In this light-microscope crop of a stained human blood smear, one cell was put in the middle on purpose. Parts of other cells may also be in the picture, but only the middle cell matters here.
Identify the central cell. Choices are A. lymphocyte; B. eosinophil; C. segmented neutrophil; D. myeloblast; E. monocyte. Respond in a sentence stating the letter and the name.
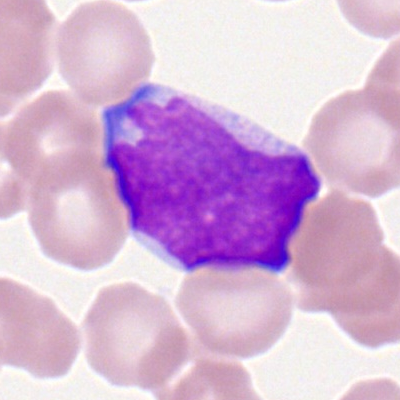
The central cell is a myeloblast, which makes option D the right answer.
